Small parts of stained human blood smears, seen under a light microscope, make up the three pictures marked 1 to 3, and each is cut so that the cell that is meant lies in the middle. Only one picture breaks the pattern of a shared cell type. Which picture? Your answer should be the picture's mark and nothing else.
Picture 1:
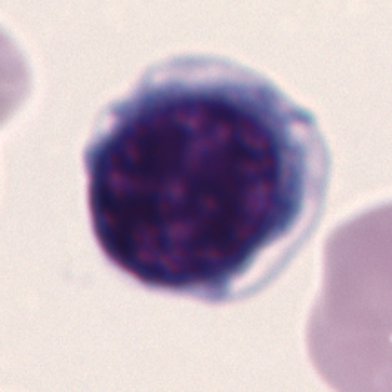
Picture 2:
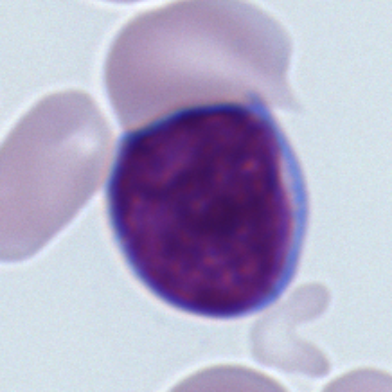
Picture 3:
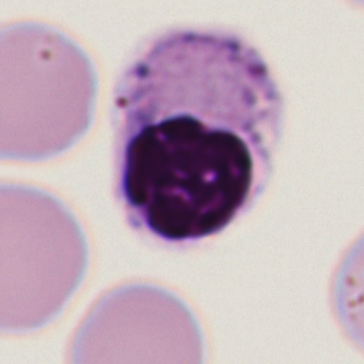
2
